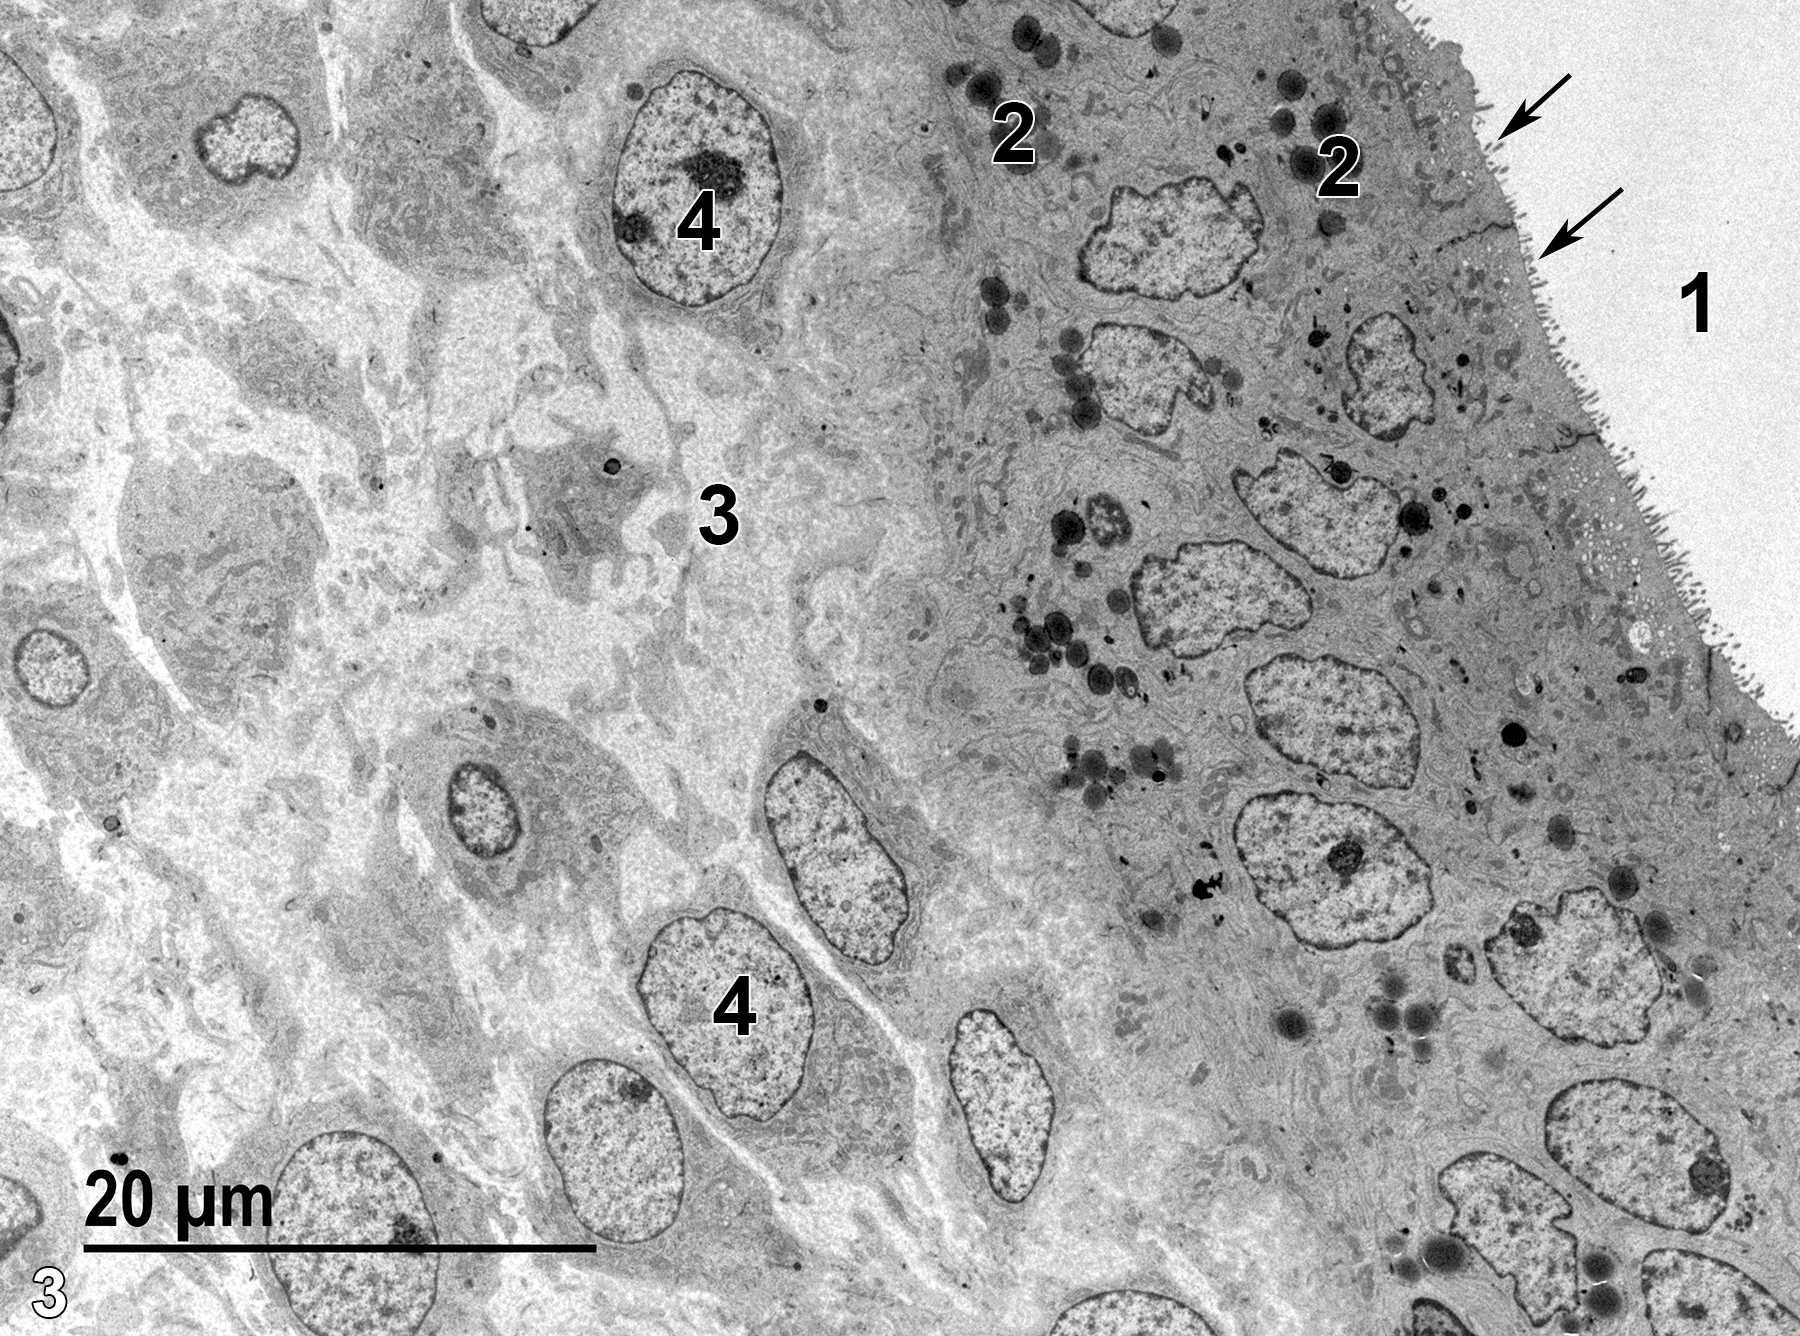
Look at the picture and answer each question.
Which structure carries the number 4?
4 marks the fibroblasts.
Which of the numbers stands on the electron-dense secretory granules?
2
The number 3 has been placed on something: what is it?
connective tissue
